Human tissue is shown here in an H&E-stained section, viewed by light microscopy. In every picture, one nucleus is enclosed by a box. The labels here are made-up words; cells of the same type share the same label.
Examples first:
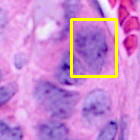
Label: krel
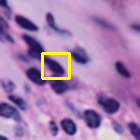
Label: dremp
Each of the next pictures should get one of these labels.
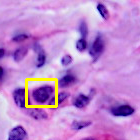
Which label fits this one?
dremp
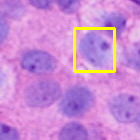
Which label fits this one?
krel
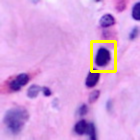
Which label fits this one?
dremp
